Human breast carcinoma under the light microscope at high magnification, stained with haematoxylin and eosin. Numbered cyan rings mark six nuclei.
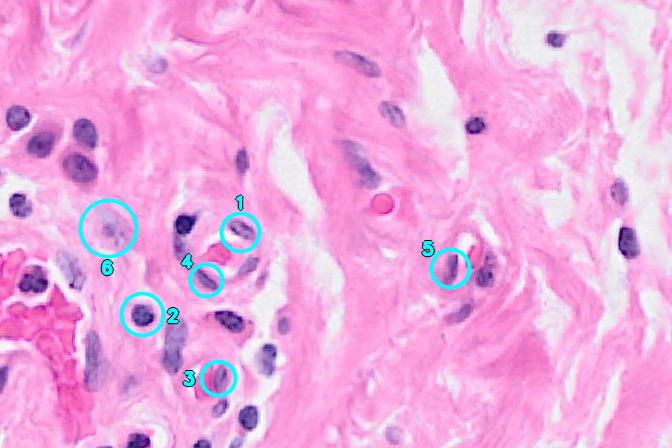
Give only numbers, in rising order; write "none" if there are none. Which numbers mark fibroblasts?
6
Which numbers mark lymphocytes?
2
